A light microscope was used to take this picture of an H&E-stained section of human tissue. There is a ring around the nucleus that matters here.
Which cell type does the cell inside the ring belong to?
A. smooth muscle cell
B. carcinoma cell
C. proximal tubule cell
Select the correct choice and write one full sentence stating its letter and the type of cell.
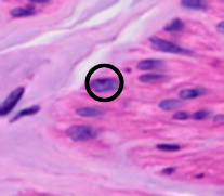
Option A is correct in stating that the cell inside the ring is a smooth muscle cell.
